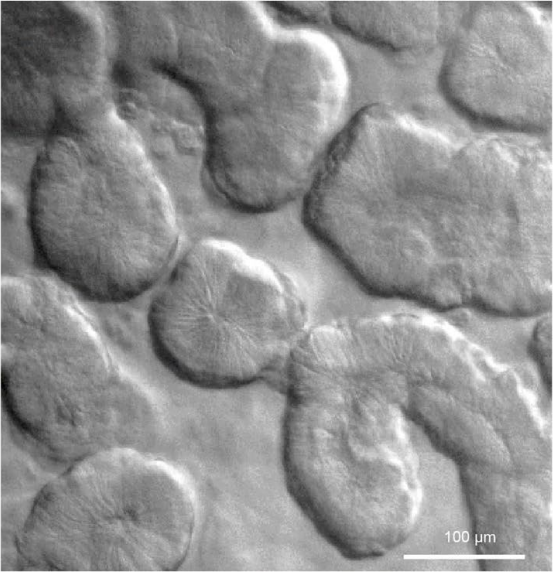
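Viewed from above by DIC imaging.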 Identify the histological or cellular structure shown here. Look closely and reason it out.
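Many rounded, elongated lobes of tissue are seen from above. Some lobes show radial streaks of cells converging toward a centre. The lobes are separated by flat spaces between them. The answer: finger-like potrusions.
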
